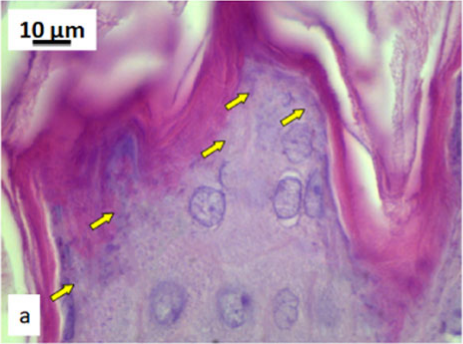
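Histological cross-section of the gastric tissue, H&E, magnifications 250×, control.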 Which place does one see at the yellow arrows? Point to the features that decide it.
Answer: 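The arrows point to the border where a pink layer meets the pale epithelial cells. The arrows follow this border along its length. So: mucosal surface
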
